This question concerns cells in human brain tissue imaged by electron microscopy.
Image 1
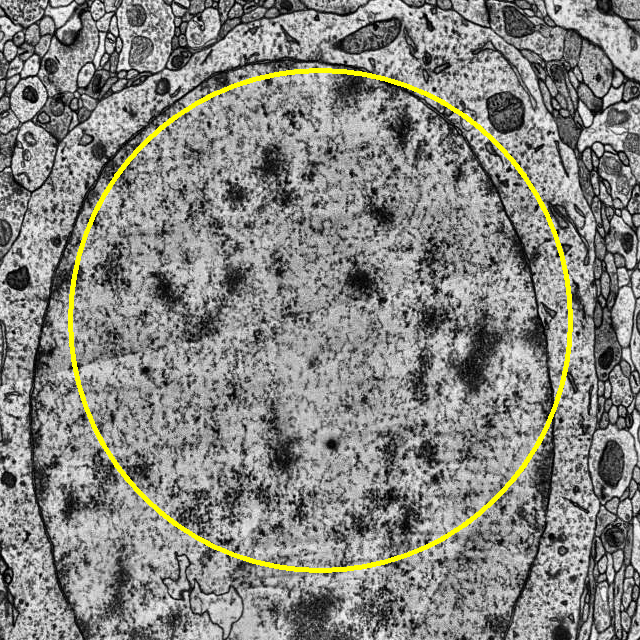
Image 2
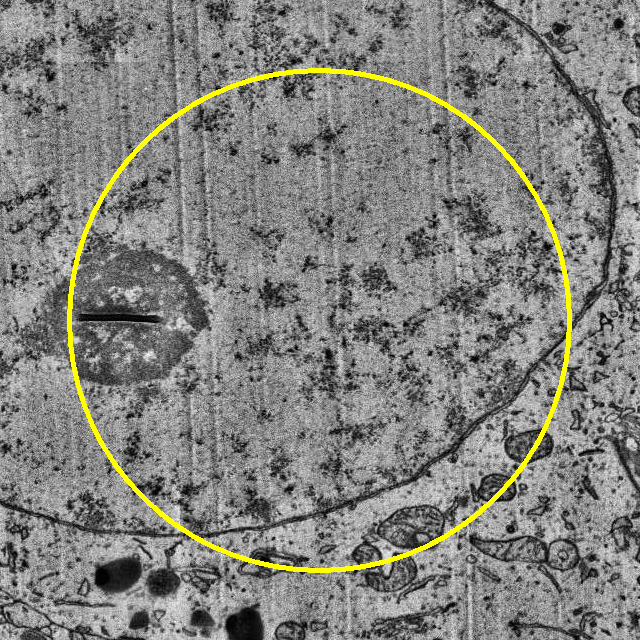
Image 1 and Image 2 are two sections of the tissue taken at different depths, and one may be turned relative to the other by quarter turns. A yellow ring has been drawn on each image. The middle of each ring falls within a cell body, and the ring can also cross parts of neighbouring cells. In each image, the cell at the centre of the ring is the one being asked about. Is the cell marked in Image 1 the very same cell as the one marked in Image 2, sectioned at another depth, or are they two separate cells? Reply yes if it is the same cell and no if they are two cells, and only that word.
no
